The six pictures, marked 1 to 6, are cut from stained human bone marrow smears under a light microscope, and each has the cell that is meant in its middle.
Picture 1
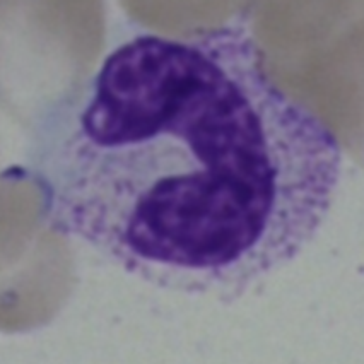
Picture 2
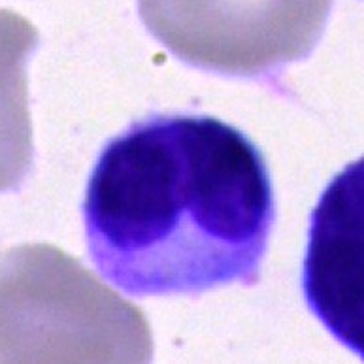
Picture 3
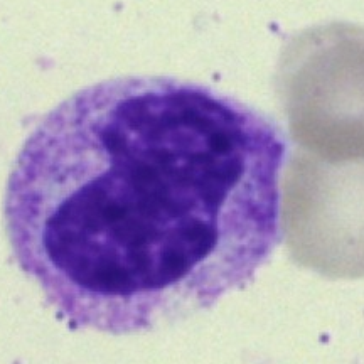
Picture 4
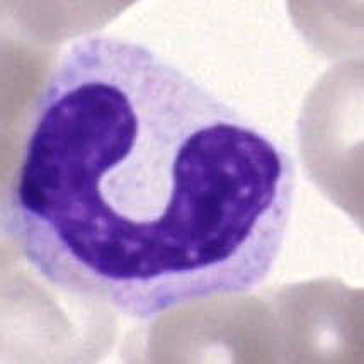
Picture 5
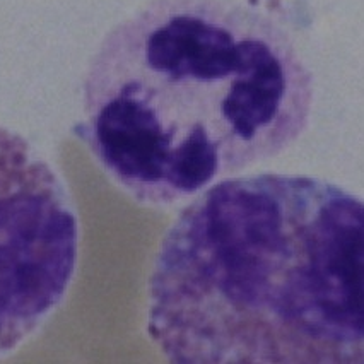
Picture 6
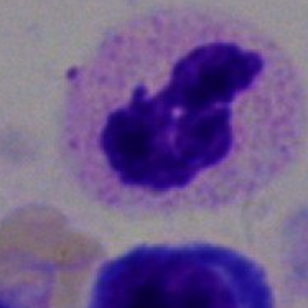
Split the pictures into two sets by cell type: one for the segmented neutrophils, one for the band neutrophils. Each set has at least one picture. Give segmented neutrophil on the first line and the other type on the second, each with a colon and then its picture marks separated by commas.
segmented neutrophil: 1, 5, 6
band neutrophil: 2, 3, 4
